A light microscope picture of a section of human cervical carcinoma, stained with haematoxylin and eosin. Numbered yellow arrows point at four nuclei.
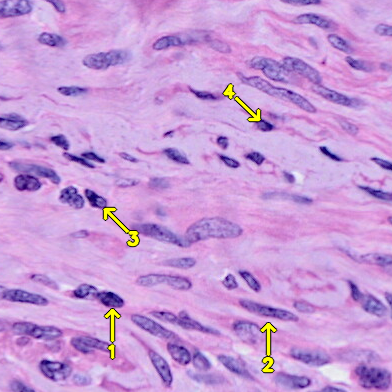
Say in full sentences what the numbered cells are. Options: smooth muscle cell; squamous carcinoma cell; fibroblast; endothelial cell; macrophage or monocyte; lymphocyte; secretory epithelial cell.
Cells 1 and 3 are lymphocytes. Cells 2 and 4 are smooth muscle cells.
